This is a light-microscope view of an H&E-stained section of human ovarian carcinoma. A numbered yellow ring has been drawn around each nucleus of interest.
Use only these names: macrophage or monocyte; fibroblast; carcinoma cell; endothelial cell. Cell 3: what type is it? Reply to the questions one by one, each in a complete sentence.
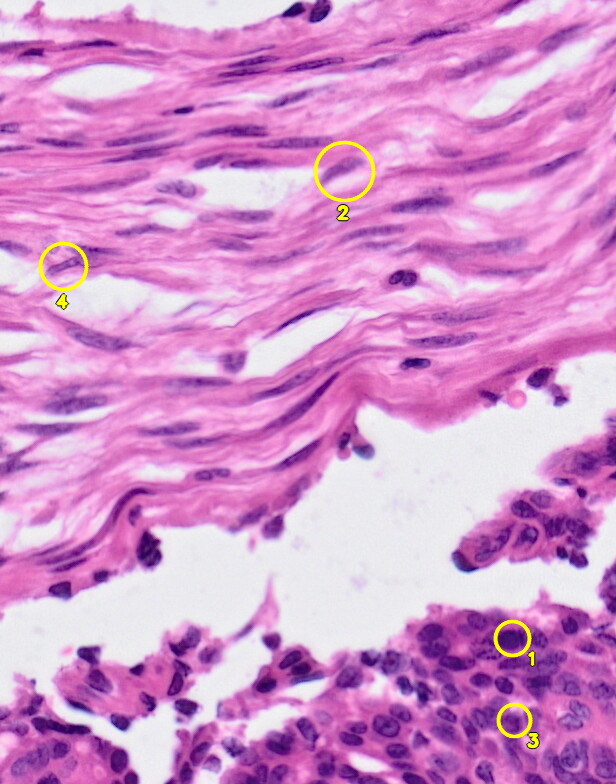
The numbered cell 3 is identified here as a carcinoma cell.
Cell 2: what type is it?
The marked cell with the number 2 is recognised as a fibroblast.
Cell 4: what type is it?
In the marked set, the cell given number 4 is a fibroblast.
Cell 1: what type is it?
The label 1 in this section denotes a carcinoma cell.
